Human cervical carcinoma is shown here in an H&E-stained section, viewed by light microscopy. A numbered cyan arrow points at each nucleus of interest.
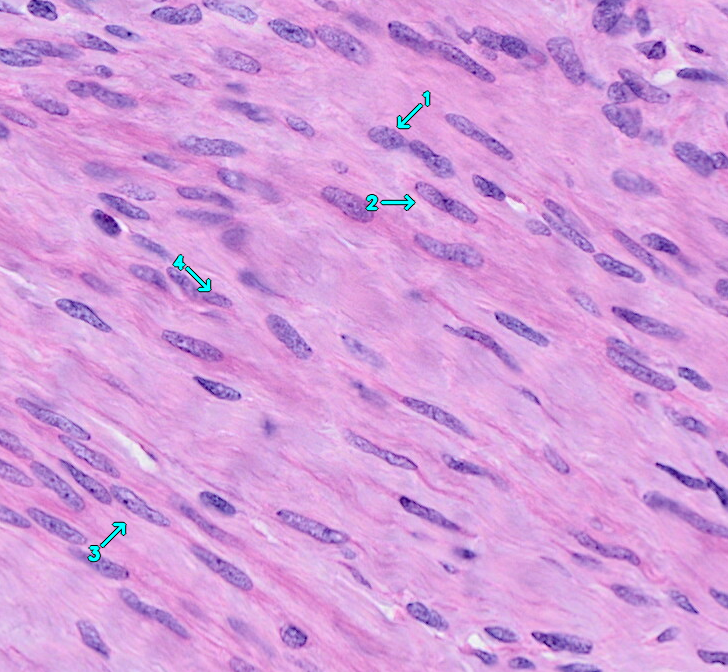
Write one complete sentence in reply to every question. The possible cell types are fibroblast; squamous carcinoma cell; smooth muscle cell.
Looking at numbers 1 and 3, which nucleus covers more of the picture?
At about 1.5 times the area of nucleus 1, nucleus 3 is the larger of the two.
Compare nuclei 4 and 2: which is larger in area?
Nucleus 2 is the larger one, covering about 3 times the area of nucleus 4.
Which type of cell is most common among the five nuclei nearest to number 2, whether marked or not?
Most of the five nuclei nearest to number 2 are those of fibroblasts.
